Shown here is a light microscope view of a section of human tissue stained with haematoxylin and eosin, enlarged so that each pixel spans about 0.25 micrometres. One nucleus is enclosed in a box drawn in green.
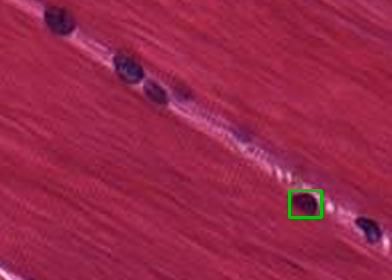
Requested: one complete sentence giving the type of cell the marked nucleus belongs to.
The cell bearing the marked nucleus is a skeletal muscle fibre.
